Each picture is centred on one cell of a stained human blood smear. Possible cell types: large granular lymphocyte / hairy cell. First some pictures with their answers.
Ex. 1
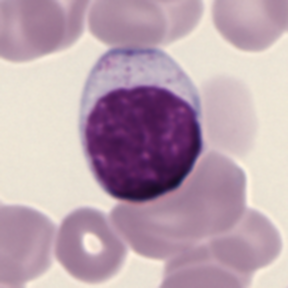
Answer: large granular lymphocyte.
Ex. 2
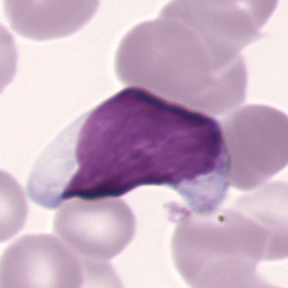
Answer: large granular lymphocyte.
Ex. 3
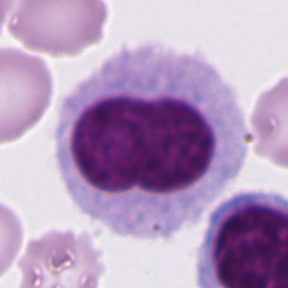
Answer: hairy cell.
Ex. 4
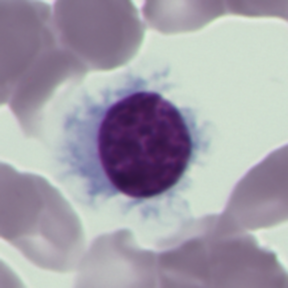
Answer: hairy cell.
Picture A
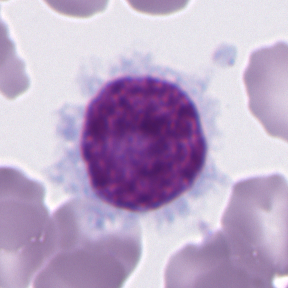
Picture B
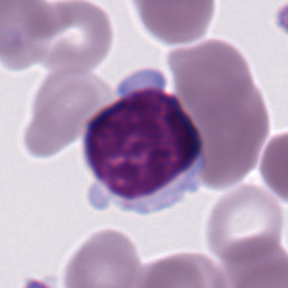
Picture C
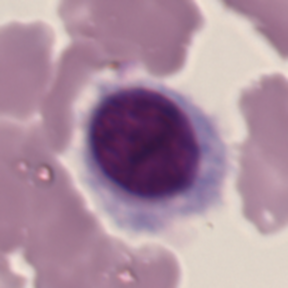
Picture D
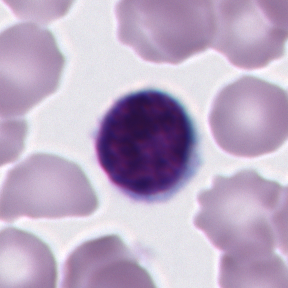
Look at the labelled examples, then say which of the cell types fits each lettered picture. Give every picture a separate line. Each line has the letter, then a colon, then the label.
A: hairy cell.
B: large granular lymphocyte.
C: hairy cell.
D: hairy cell.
